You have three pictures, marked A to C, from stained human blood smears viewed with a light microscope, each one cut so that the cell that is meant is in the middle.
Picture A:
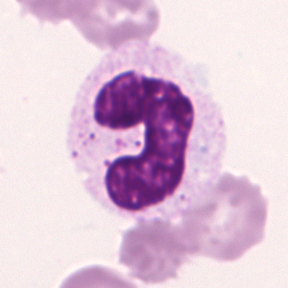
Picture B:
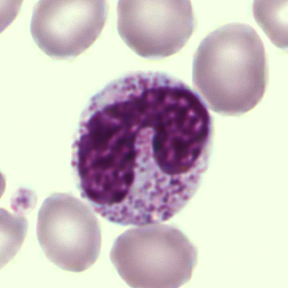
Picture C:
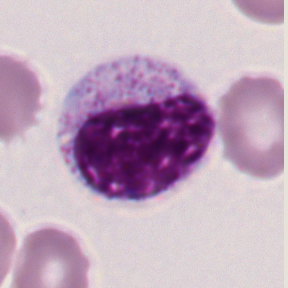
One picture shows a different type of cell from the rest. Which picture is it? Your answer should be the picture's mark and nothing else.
C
